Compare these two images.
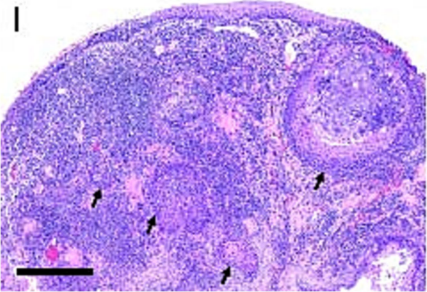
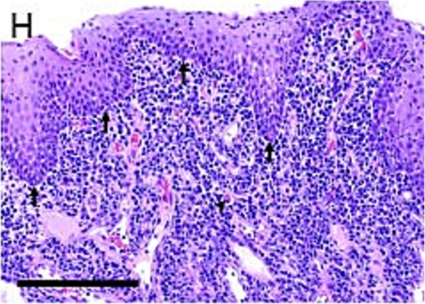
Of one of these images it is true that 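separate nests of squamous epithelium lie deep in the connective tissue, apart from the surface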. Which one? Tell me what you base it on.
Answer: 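First image: rounded pink epithelial nests lie deep in the tissue, ringed by dark small cells. Second image: the epithelium stays continuous with the surface, with a sharp lower border.
Answer: the first image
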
